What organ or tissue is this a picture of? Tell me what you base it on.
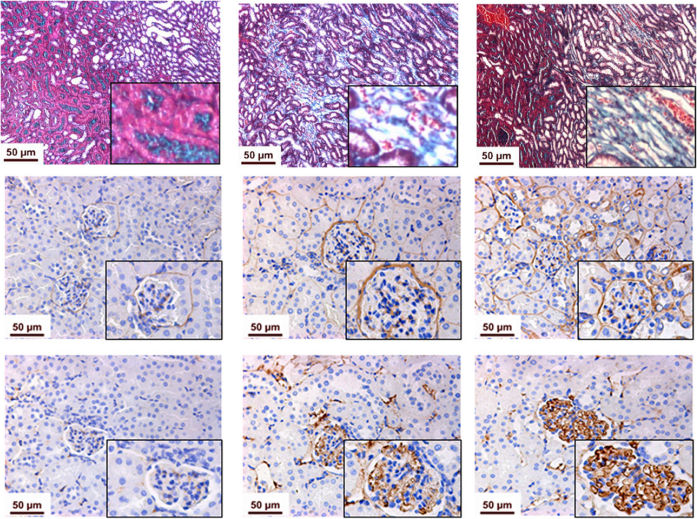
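Tightly packed tubule cross-sections lined by cuboidal epithelium. Round glomerular tufts surrounded by a capsule.
Conclusion: kidney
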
